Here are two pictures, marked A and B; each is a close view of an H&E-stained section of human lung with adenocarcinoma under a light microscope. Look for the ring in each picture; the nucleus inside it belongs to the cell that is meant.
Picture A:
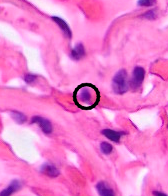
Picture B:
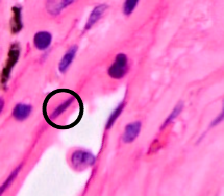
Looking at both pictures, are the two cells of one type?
yes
